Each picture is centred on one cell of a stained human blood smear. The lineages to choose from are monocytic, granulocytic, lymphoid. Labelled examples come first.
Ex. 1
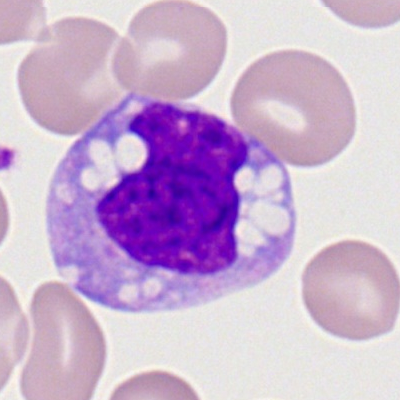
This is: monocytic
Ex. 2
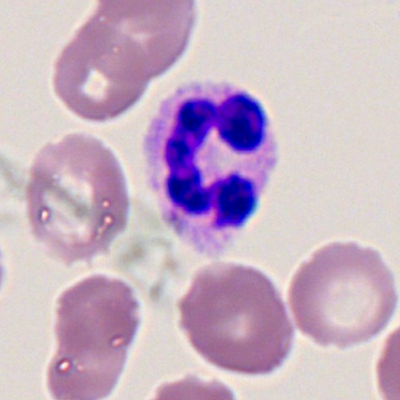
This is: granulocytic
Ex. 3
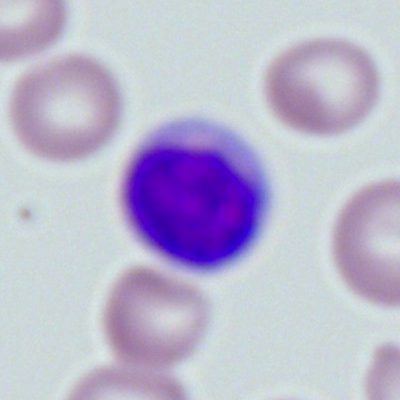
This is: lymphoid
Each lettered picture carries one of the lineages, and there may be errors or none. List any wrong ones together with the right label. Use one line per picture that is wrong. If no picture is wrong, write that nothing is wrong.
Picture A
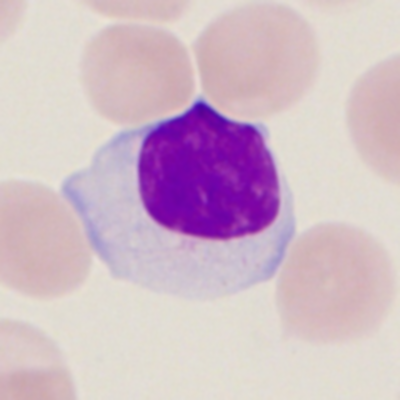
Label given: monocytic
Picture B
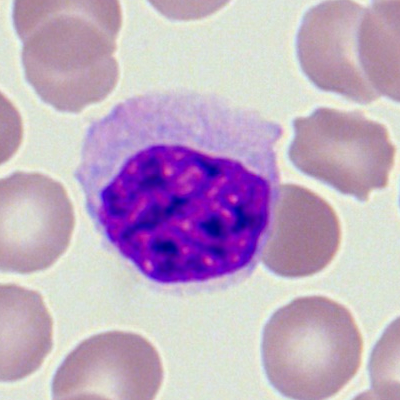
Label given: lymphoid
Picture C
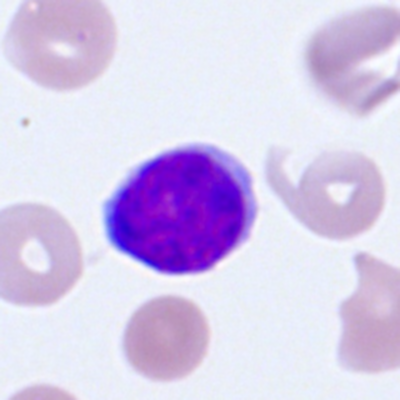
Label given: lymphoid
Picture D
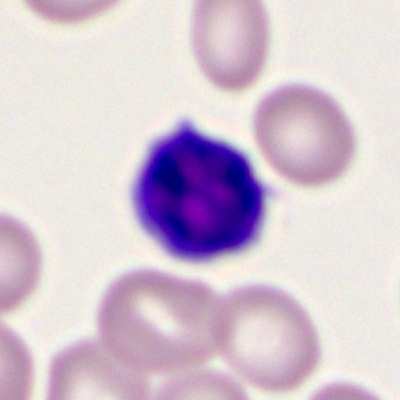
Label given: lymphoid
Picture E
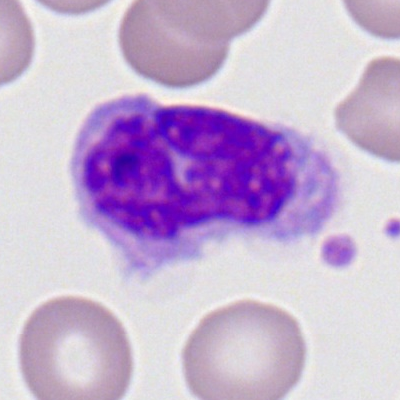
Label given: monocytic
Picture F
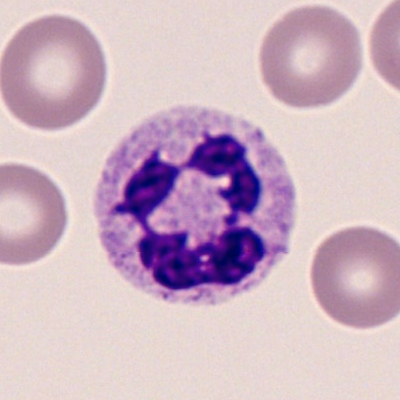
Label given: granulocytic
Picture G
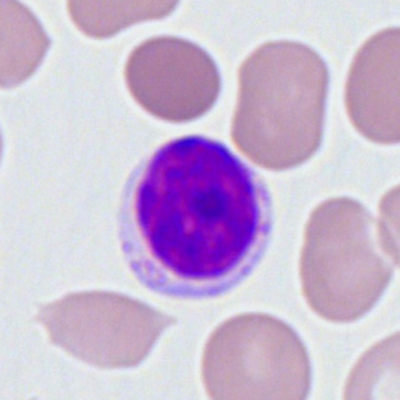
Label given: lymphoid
A: change monocytic to lymphoid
